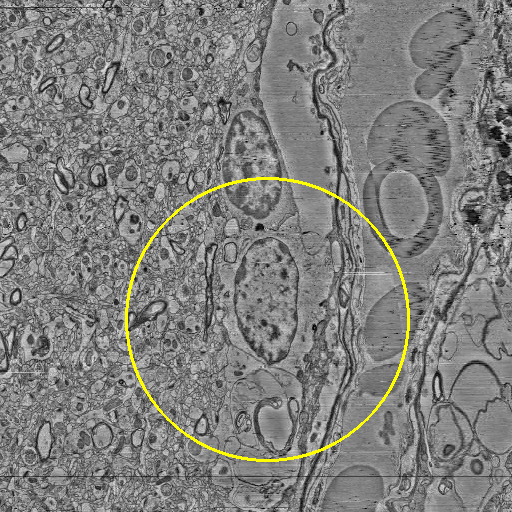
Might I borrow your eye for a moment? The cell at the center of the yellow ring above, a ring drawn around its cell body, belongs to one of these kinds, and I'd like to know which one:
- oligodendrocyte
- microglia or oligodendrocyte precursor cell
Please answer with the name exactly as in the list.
microglia or oligodendrocyte precursor cell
